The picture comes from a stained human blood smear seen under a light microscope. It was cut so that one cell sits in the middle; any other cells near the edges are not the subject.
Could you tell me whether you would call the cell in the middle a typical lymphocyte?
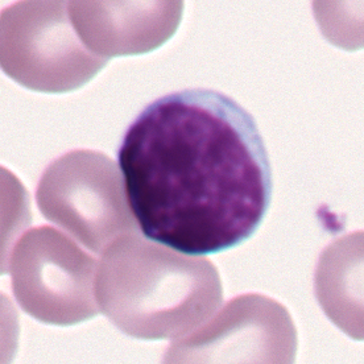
yes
